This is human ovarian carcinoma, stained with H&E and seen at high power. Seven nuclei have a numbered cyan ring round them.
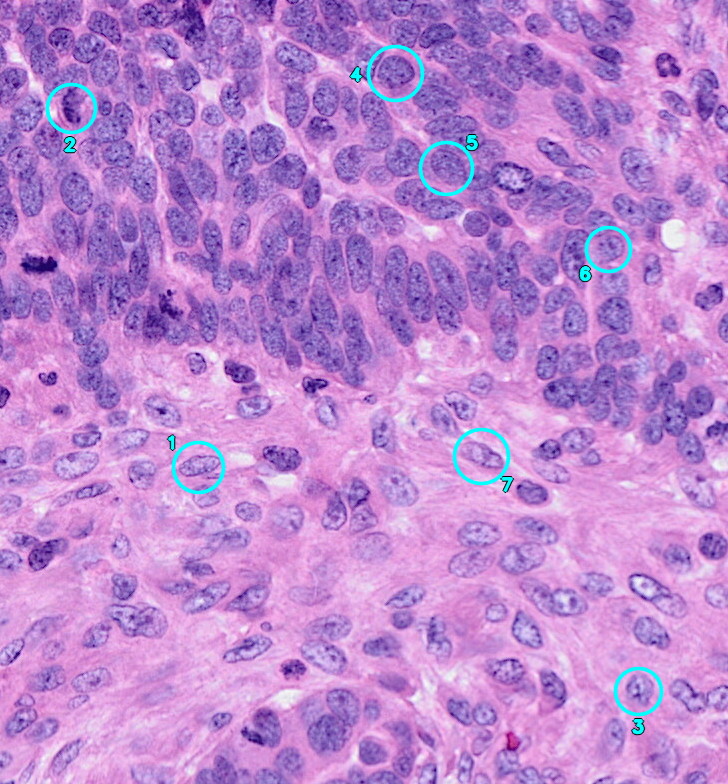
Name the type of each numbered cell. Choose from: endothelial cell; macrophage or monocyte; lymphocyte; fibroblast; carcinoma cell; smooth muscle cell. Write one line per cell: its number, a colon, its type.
1: fibroblast
2: carcinoma cell
3: fibroblast
4: carcinoma cell
5: carcinoma cell
6: carcinoma cell
7: fibroblast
